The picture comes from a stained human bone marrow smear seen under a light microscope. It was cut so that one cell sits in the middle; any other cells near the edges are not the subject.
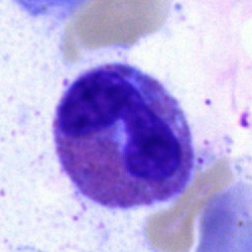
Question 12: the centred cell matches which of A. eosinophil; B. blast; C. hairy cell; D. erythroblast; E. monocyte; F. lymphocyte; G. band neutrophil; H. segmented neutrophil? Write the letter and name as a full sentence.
Option A, which names the central cell as an eosinophil, is correct.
